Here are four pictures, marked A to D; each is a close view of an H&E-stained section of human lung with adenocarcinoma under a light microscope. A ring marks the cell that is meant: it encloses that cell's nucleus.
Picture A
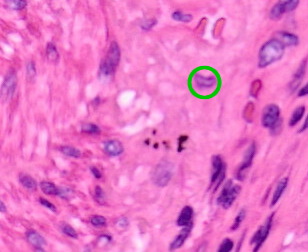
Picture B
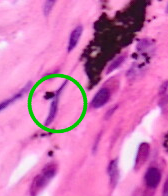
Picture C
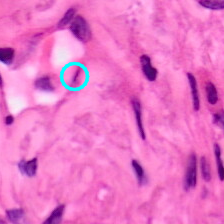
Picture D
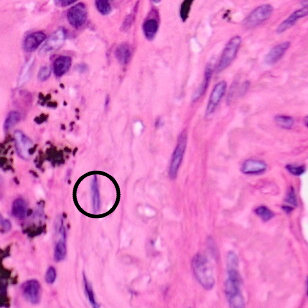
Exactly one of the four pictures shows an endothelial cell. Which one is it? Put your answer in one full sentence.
Picture C shows the endothelial cell.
